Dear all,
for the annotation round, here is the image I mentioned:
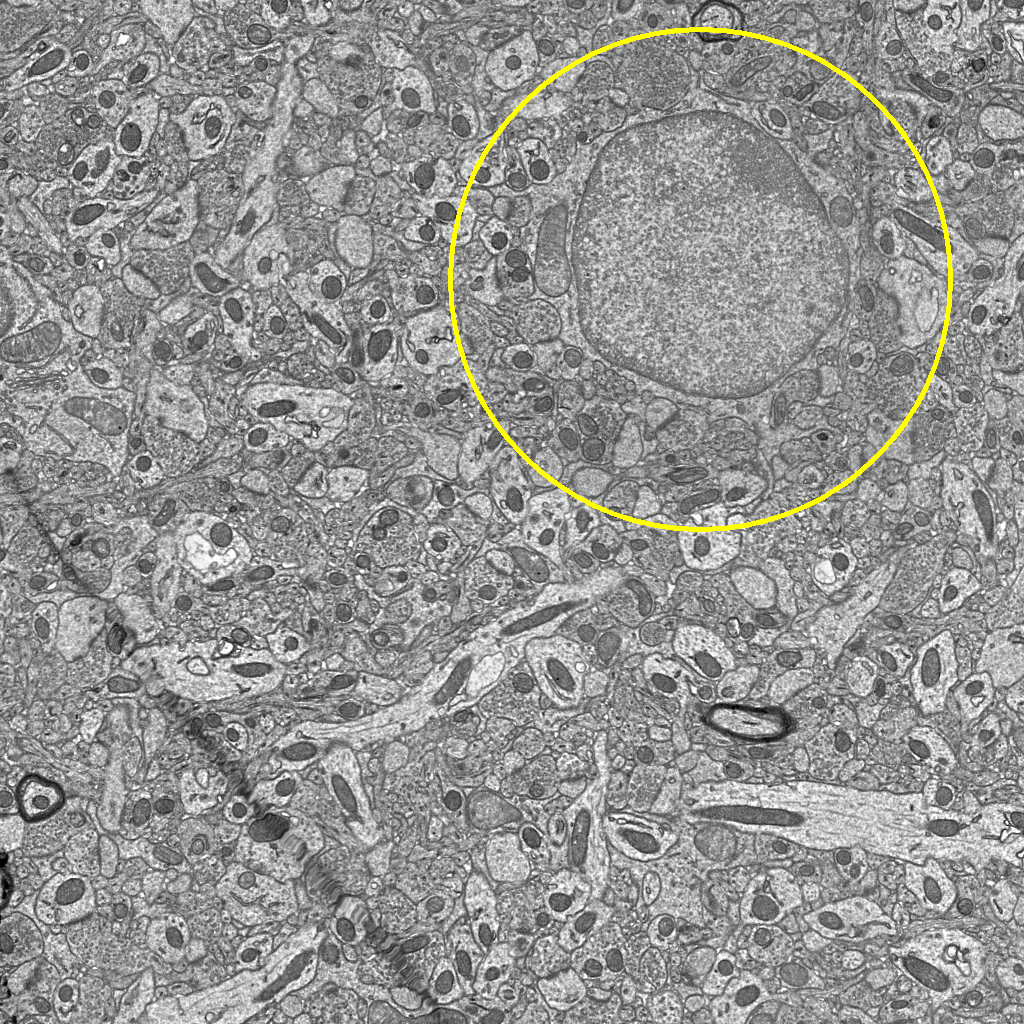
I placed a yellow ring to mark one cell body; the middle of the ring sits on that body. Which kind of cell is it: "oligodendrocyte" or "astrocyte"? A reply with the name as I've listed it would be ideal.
astrocyte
